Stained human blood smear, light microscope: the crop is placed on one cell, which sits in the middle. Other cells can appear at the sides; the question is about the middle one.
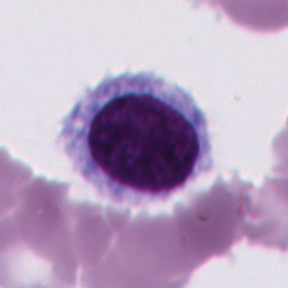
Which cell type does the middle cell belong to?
hairy cell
